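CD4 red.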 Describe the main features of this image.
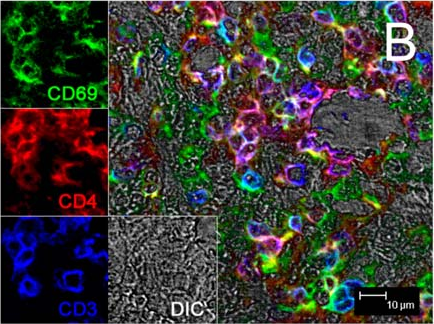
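The labelled cells are round, with fluorescent rings around their membranes, and many show overlapping red and green that appears yellow to white. Some cells are outlined mainly in blue or cyan. Between the cells the transmitted-light image shows fibrous, granular tissue, and a larger smooth grey area without labelled cells lies toward the centre right.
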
